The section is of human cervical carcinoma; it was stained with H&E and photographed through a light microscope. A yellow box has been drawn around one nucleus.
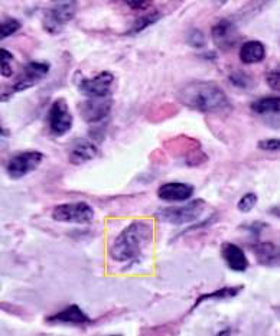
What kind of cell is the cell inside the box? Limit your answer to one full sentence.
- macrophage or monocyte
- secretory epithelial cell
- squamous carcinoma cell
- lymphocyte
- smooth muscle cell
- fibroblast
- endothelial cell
It is as a macrophage or monocyte that the cell inside the box is classified.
